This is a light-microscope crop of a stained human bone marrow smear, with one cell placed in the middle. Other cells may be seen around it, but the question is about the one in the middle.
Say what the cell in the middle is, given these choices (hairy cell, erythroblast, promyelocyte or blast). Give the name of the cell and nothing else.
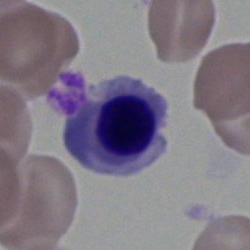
erythroblast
